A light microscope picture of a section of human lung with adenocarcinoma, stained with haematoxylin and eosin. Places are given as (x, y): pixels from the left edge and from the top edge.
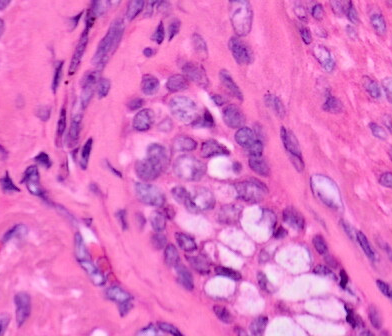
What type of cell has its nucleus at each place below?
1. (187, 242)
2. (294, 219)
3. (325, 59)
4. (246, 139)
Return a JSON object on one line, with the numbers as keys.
{"1": "ciliated epithelial cell", "2": "ciliated epithelial cell", "3": "smooth muscle cell or pericyte", "4": "ciliated epithelial cell"}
